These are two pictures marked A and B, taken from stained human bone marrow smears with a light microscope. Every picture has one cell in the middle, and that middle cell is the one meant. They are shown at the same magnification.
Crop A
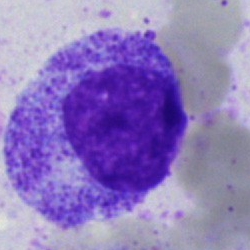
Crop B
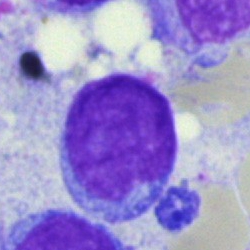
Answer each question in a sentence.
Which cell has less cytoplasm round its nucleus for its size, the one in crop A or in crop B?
In crop B the nucleus takes up the larger part of its cell.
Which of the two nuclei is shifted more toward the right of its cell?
In crop A the nucleus is shifted more toward the right.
